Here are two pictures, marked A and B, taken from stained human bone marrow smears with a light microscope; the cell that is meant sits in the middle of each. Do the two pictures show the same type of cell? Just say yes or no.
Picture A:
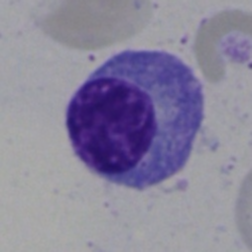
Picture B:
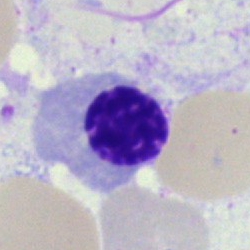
no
